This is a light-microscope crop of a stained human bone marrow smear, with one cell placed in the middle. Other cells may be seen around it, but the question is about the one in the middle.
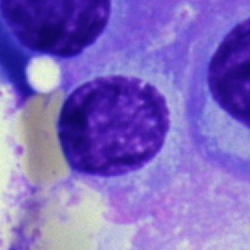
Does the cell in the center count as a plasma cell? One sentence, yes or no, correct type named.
Yes, the cell sitting in the center is a plasma cell.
